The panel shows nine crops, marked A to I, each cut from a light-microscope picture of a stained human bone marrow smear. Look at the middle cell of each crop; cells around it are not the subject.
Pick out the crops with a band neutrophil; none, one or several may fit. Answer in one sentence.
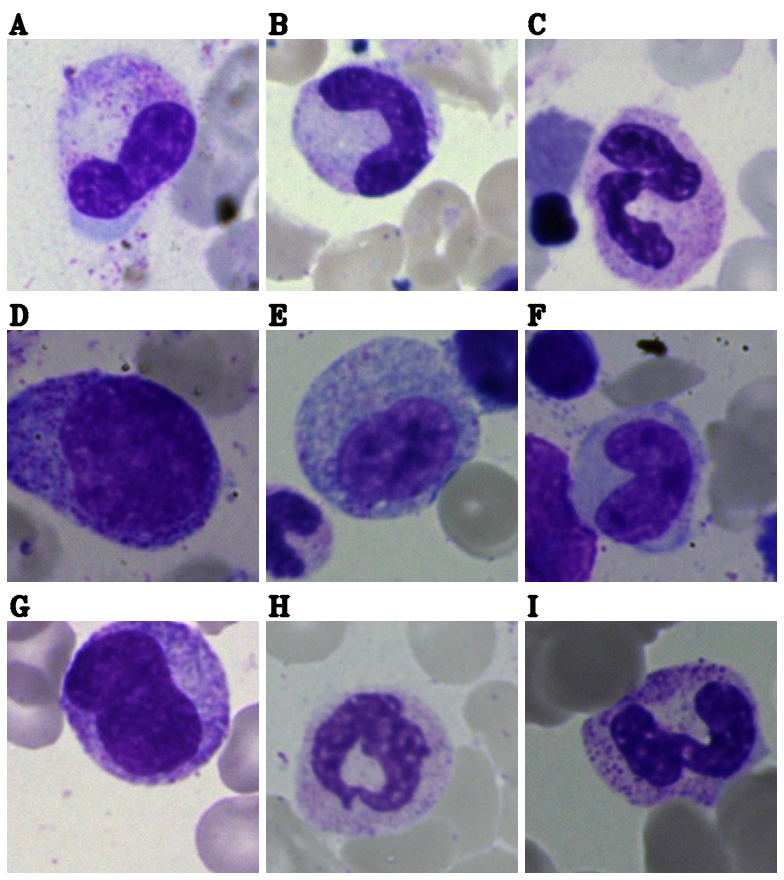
Of the crops in this set, A, B, F and I show band neutrophils.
